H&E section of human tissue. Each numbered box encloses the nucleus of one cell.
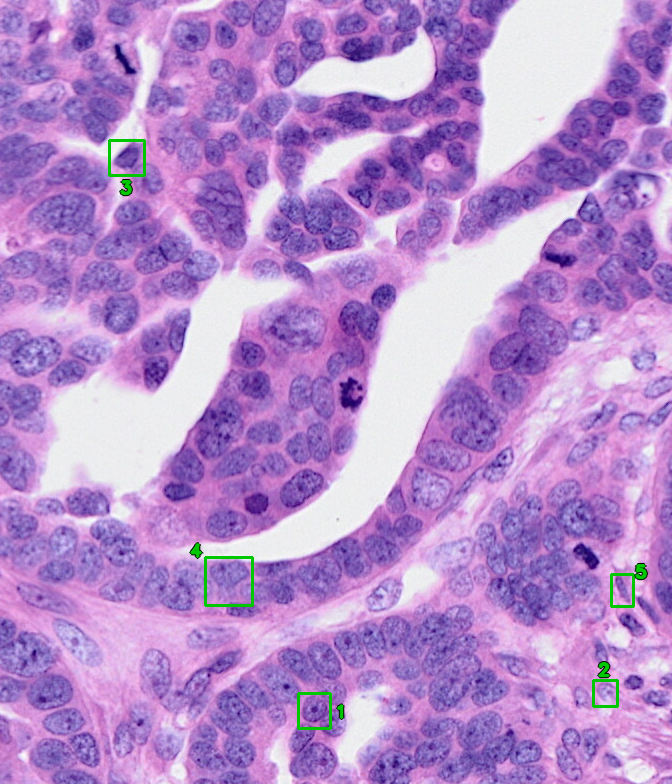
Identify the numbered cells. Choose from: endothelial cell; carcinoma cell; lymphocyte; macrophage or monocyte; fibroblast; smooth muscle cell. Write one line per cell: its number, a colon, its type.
1: carcinoma cell
2: fibroblast
3: carcinoma cell
4: carcinoma cell
5: fibroblast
